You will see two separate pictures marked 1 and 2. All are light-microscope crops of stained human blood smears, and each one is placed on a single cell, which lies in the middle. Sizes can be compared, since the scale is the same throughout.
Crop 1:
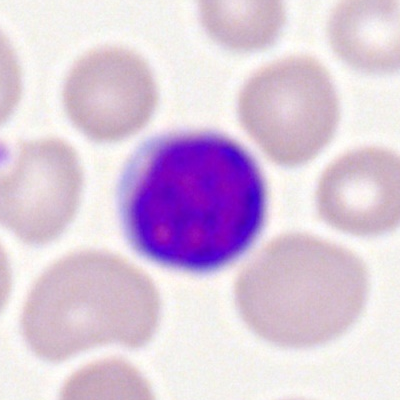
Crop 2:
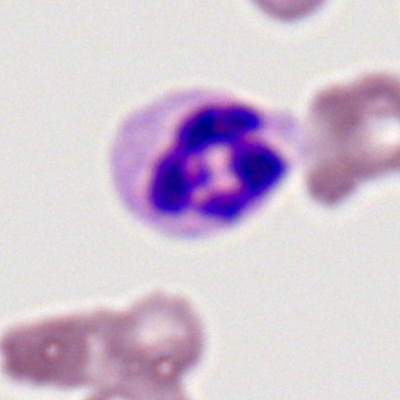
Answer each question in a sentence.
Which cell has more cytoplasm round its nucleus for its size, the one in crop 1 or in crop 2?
In crop 2 the nucleus takes up the smaller part of its cell.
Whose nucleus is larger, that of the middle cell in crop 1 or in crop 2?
It is the nucleus in crop 1, about 1.5 times as large in area as the one in crop 2.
